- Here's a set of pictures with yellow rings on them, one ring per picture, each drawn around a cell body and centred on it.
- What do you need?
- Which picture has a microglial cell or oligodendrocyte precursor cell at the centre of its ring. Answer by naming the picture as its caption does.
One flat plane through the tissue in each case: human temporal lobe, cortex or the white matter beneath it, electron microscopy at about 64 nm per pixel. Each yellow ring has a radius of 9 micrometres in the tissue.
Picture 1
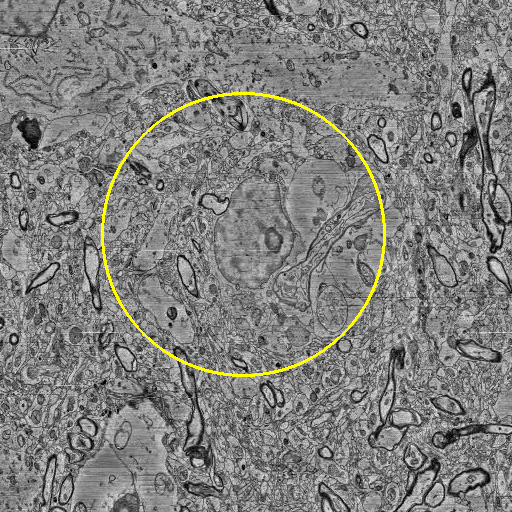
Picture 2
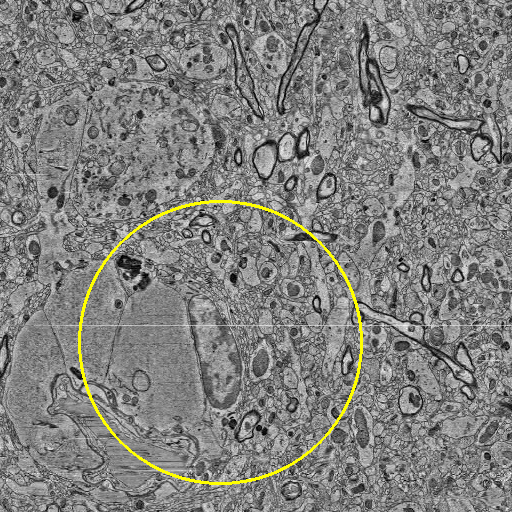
Picture 2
